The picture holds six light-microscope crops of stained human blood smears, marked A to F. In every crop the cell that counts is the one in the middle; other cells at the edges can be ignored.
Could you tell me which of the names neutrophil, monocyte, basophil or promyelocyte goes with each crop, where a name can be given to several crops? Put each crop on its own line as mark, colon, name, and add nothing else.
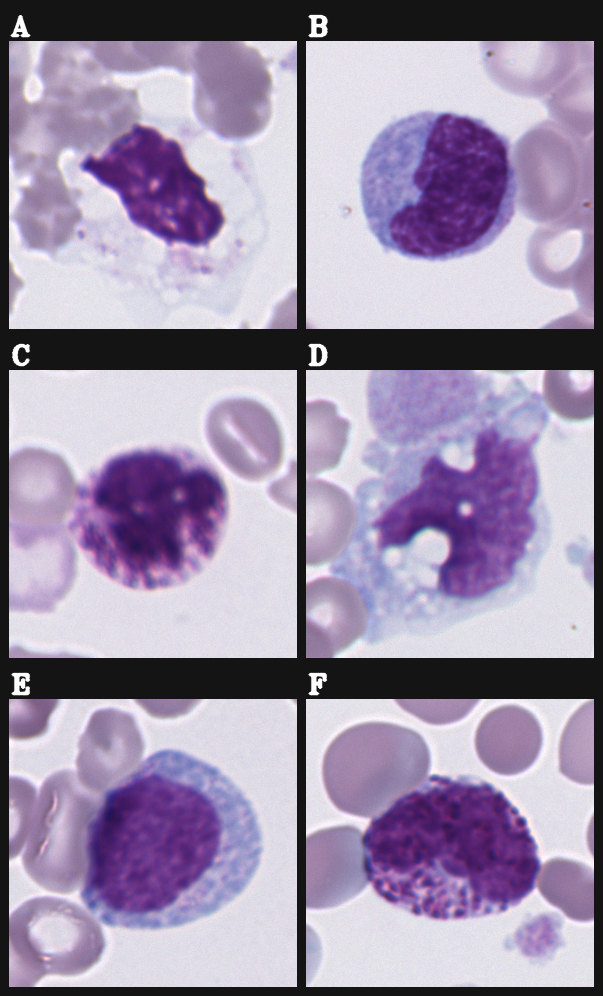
A: neutrophil
B: monocyte
C: basophil
D: monocyte
E: promyelocyte
F: basophil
